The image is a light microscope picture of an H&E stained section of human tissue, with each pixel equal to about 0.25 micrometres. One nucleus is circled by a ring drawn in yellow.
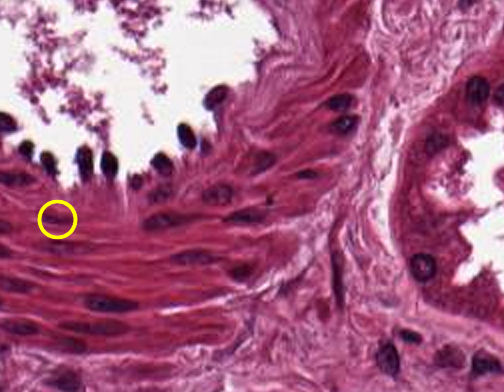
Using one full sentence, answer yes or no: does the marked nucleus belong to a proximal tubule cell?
No, the marked nucleus does not belong to a proximal tubule cell.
